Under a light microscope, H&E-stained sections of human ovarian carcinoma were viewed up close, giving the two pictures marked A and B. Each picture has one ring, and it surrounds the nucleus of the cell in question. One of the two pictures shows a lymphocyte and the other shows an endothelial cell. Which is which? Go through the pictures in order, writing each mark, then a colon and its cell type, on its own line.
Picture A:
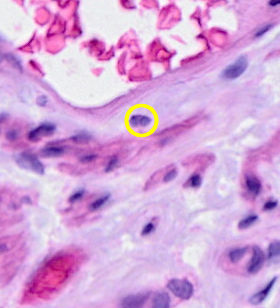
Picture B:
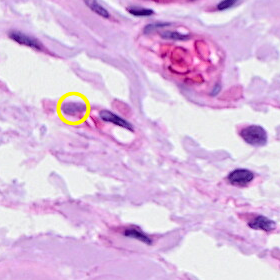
A: lymphocyte
B: endothelial cell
